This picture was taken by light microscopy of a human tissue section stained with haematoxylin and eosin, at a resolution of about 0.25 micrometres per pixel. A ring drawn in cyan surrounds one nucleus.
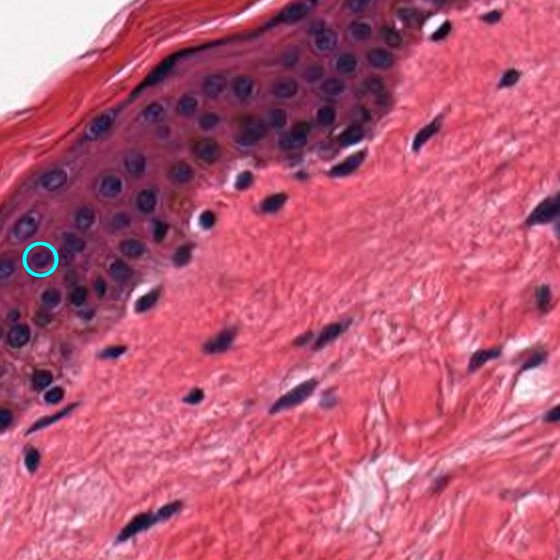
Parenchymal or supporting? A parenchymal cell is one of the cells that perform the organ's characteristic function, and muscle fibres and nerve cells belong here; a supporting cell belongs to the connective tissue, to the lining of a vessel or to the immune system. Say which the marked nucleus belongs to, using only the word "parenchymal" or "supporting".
parenchymal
